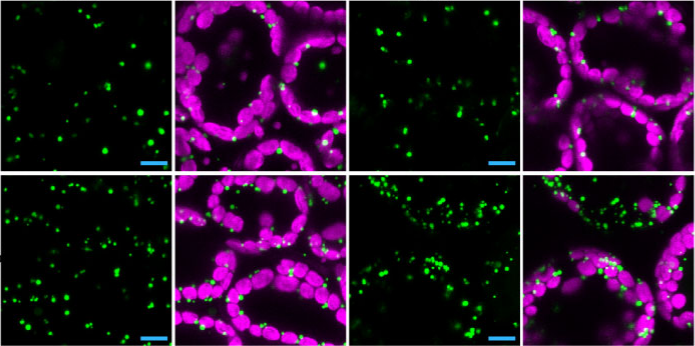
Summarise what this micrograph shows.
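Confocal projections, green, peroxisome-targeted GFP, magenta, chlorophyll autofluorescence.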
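These are leaf mesophyll cells, each outlined by a ring of oval chloroplasts glowing magenta. The chloroplasts line the cell walls, so the cells look like hollow rounded compartments. The dots are separate, bright and much smaller than a chloroplast. In some fields the green dots are noticeably more crowded than in others.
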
